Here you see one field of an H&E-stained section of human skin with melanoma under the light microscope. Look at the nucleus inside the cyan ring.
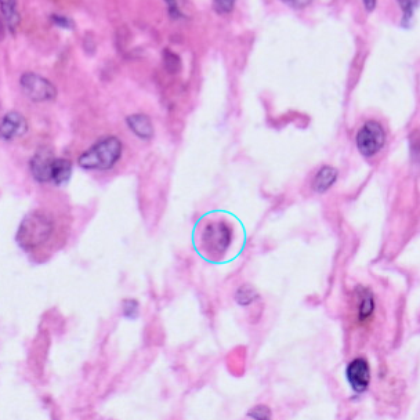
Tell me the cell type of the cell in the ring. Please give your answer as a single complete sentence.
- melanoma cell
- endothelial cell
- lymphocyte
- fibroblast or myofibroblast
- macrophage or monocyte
Labelled by cell type, the cell in the ring is a macrophage or monocyte.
